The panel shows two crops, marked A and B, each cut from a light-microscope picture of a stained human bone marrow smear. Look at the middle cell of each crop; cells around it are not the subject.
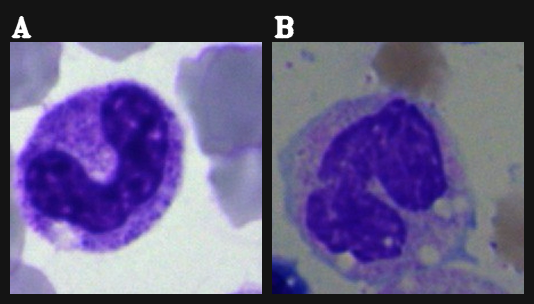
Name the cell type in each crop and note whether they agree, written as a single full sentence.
Yes, the same answer goes for both crops, namely band neutrophils.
